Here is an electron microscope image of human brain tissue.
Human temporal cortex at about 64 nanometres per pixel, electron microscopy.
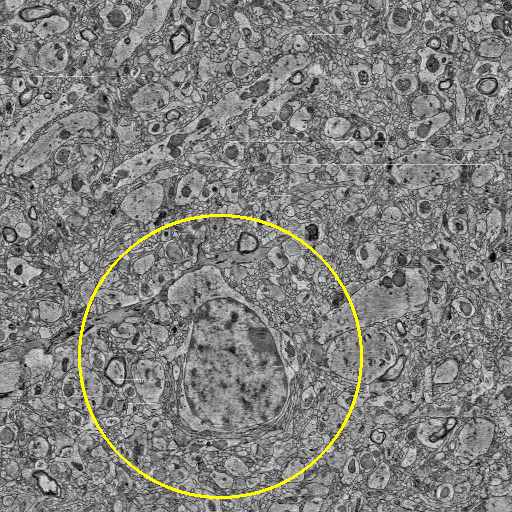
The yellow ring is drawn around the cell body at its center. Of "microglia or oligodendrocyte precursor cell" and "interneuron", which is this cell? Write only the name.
microglia or oligodendrocyte precursor cell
